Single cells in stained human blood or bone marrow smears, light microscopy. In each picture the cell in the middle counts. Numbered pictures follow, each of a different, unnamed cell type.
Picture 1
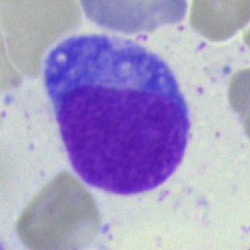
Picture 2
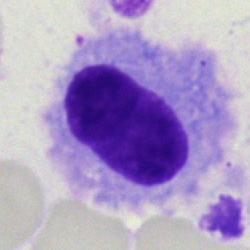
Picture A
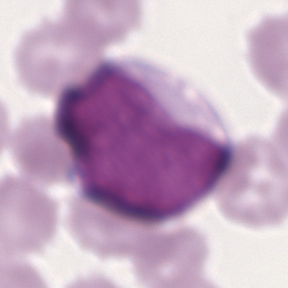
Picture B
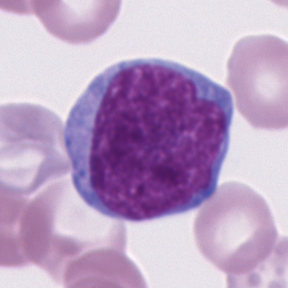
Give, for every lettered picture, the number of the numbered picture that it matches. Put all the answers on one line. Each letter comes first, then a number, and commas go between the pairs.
A 1, B 1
